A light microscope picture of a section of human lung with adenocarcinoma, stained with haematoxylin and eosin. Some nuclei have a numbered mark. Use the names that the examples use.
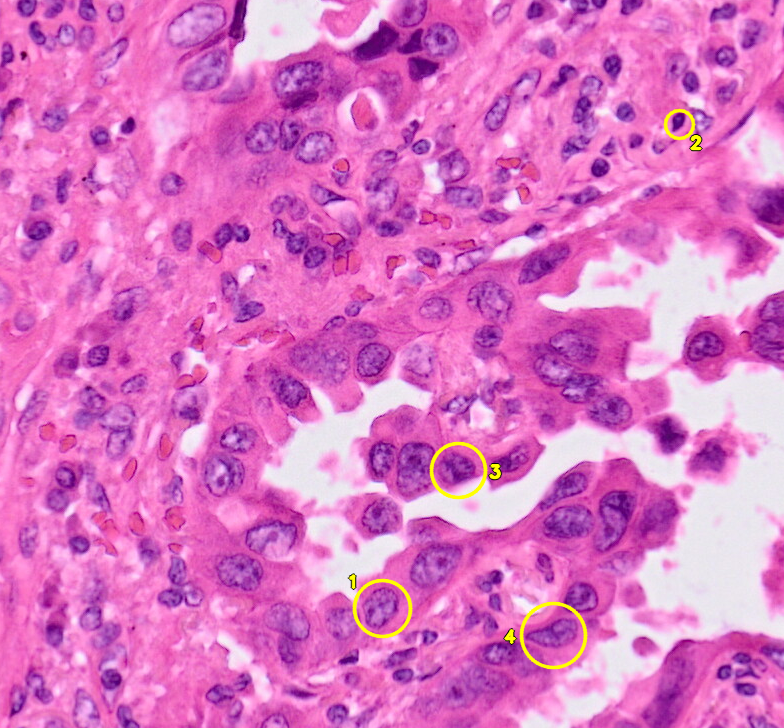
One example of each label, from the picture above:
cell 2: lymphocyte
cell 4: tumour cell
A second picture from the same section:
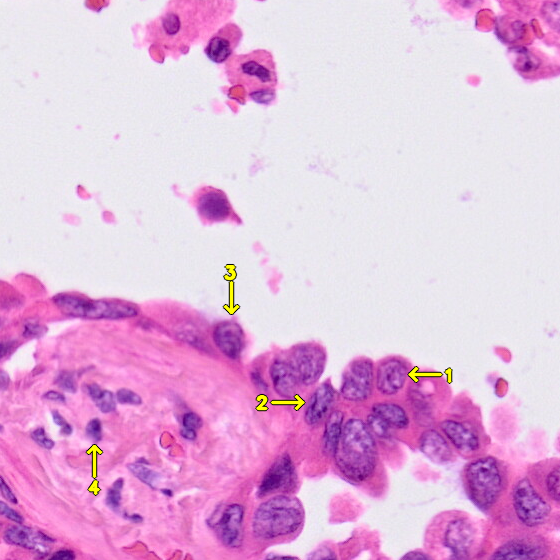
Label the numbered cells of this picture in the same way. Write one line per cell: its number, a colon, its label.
1: tumour cell
2: tumour cell
3: tumour cell
4: lymphocyte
